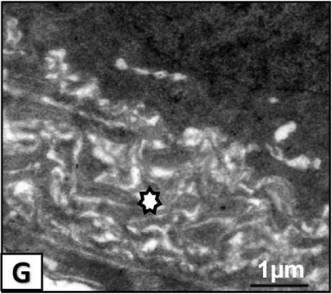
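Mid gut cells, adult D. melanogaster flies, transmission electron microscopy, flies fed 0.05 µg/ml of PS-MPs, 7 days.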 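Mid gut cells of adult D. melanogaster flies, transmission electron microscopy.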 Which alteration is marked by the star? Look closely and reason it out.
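Abnormal folding of basement membrane. At the star, the basal region is a tangle of thin, convoluted pale folds. These folds are irregular and crowded rather than lying in a smooth line.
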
